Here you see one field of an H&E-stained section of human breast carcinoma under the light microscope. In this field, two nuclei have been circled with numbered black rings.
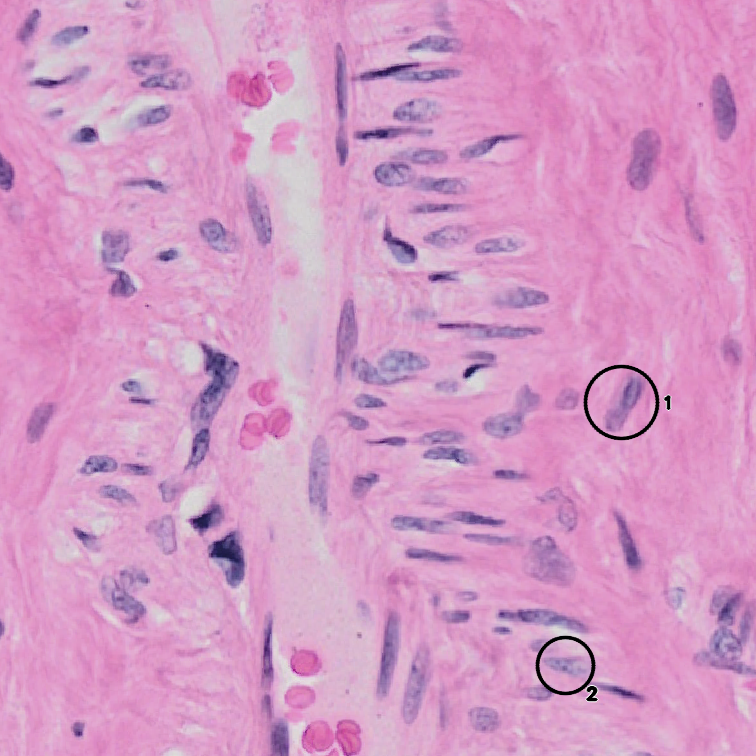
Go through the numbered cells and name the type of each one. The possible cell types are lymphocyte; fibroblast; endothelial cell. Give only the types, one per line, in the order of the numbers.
fibroblast
endothelial cell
